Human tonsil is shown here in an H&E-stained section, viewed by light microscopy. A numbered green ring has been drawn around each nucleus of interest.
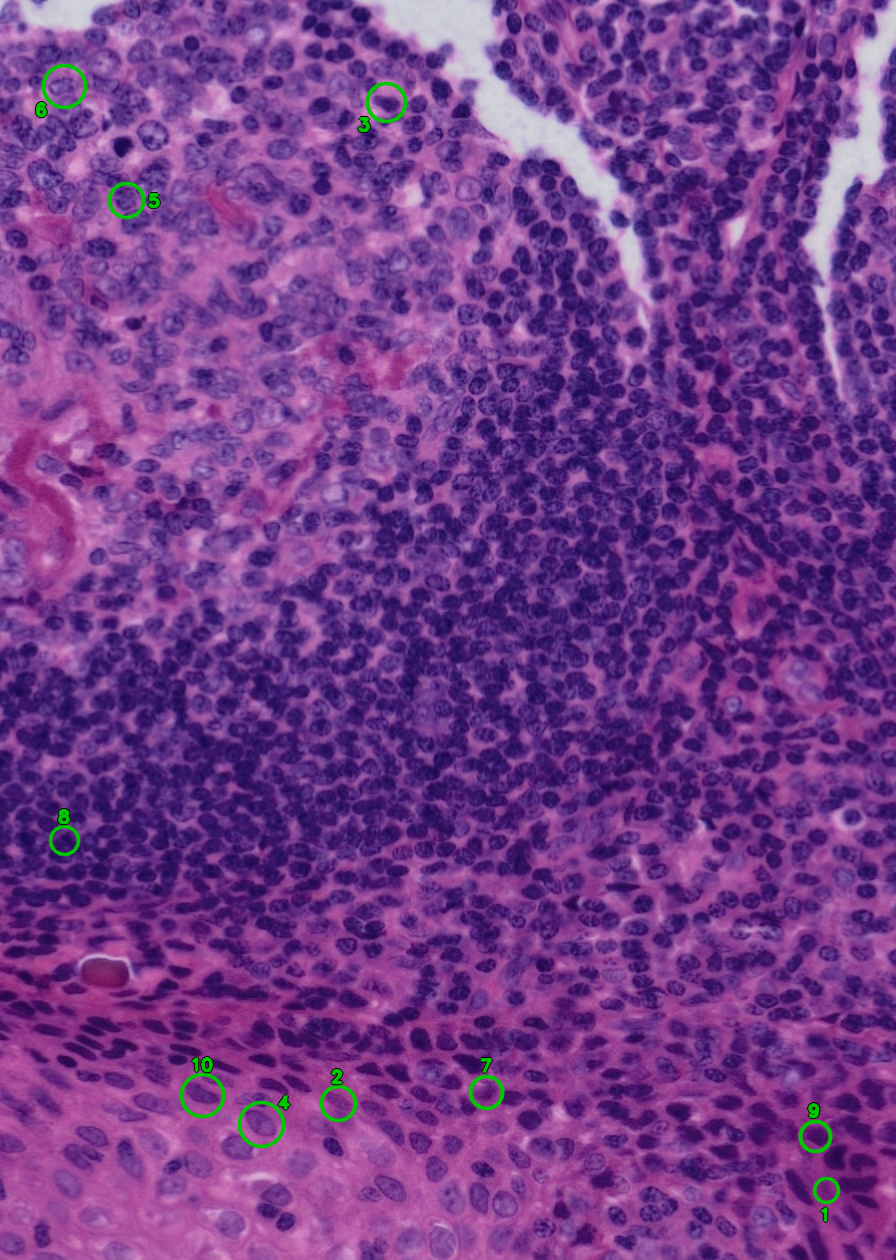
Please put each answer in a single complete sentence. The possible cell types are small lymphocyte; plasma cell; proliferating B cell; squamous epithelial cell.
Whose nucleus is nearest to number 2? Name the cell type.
The nucleus nearest to number 2 is that of a squamous epithelial cell.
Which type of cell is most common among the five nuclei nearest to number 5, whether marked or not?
Proliferating B cells account for more than half of the five nuclei nearest to number 5.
